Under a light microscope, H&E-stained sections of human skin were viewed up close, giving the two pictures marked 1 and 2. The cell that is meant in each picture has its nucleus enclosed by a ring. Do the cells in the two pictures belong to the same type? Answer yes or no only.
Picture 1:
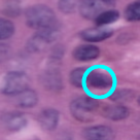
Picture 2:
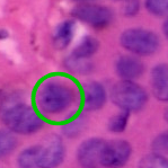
yes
